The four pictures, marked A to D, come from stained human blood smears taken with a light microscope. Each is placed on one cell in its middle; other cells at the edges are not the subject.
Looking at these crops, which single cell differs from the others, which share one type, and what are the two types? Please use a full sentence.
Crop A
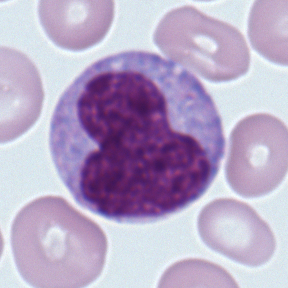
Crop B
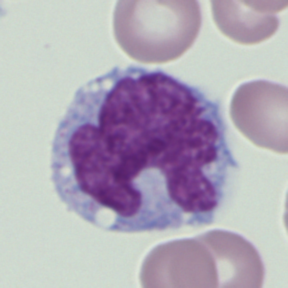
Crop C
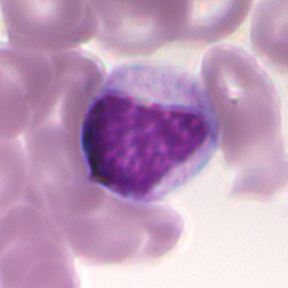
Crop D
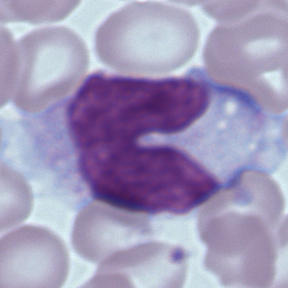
Unlike the other crops, which all show monocytes, crop C is a metamyelocyte.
